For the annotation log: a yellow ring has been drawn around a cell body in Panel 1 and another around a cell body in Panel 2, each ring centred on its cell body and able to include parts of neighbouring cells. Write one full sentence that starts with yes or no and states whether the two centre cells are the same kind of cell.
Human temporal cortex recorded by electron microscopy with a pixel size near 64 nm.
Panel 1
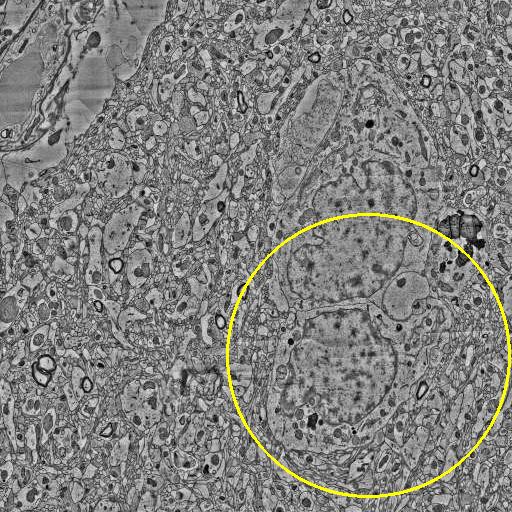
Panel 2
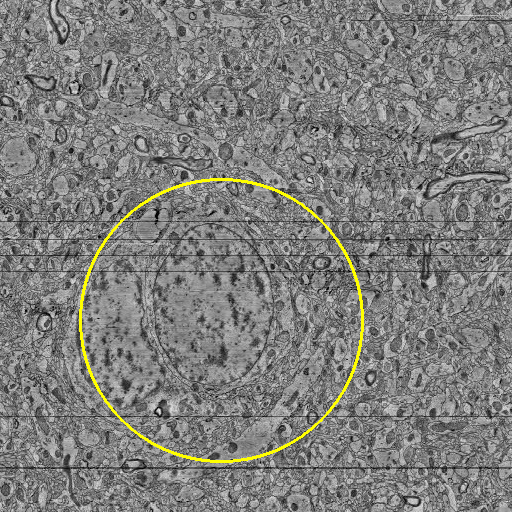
No, the two centre cells are two kinds of cell.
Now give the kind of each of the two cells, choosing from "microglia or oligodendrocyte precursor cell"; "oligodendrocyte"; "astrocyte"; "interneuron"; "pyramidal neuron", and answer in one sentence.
The cell in the first picture is an interneuron, and the cell in the second is a pyramidal neuron.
